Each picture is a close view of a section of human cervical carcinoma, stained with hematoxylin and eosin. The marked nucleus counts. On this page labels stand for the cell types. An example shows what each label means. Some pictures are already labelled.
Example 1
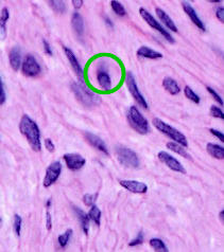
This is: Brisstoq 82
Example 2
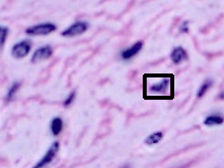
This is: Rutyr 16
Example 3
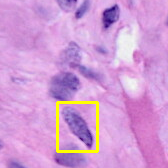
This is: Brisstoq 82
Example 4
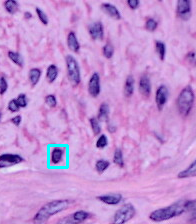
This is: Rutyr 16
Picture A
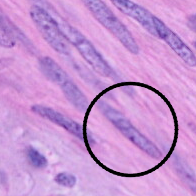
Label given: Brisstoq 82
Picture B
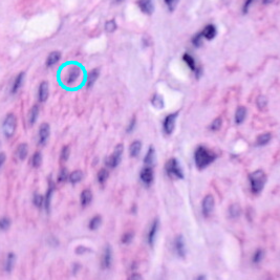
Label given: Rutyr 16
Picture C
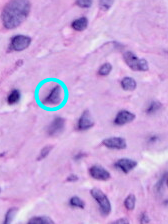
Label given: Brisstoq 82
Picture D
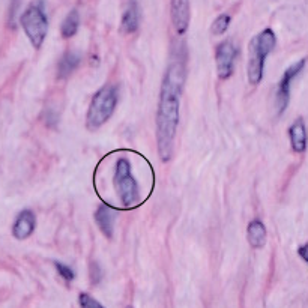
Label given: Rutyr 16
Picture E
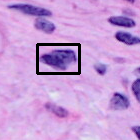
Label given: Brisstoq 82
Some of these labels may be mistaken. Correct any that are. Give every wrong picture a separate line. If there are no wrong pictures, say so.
A: not Brisstoq 82 but Rutyr 16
